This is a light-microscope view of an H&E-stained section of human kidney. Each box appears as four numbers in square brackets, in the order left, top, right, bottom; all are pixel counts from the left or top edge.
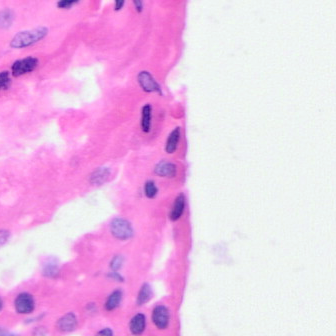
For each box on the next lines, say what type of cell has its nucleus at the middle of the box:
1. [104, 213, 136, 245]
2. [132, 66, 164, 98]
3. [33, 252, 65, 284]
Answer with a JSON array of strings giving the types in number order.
["loop of Henle or distal tubule cell", "proximal tubule cell", "loop of Henle or distal tubule cell"]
